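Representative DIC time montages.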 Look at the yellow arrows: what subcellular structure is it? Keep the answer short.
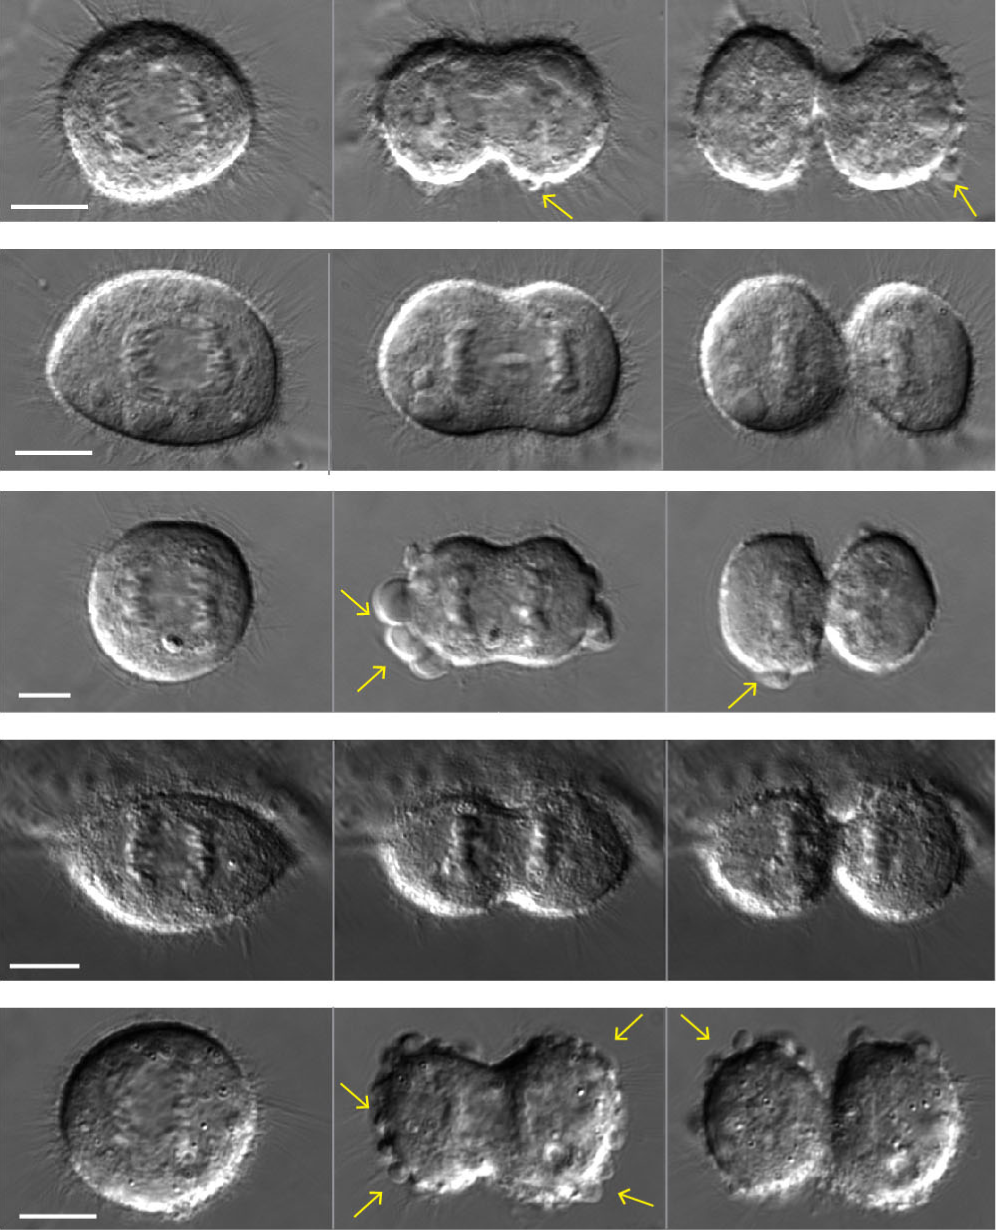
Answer: Blebs.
